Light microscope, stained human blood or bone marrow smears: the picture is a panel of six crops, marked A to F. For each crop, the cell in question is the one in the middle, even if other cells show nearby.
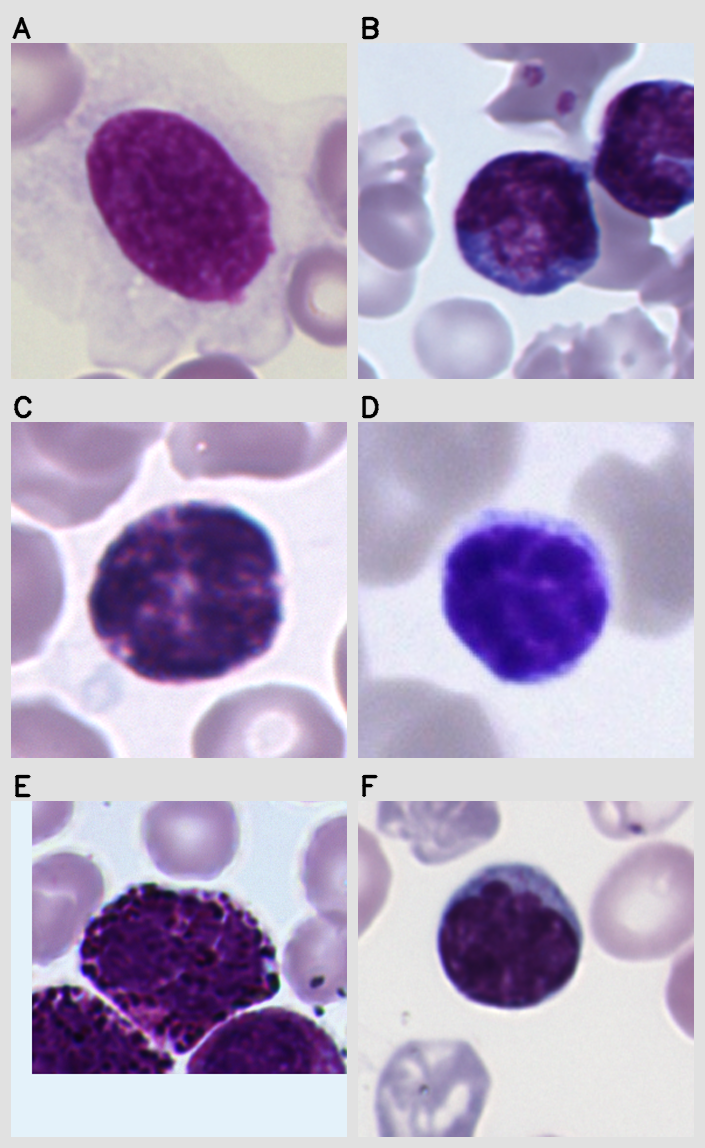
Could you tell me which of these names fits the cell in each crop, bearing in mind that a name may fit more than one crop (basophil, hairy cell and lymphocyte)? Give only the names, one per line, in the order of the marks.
hairy cell
lymphocyte
basophil
lymphocyte
basophil
lymphocyte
